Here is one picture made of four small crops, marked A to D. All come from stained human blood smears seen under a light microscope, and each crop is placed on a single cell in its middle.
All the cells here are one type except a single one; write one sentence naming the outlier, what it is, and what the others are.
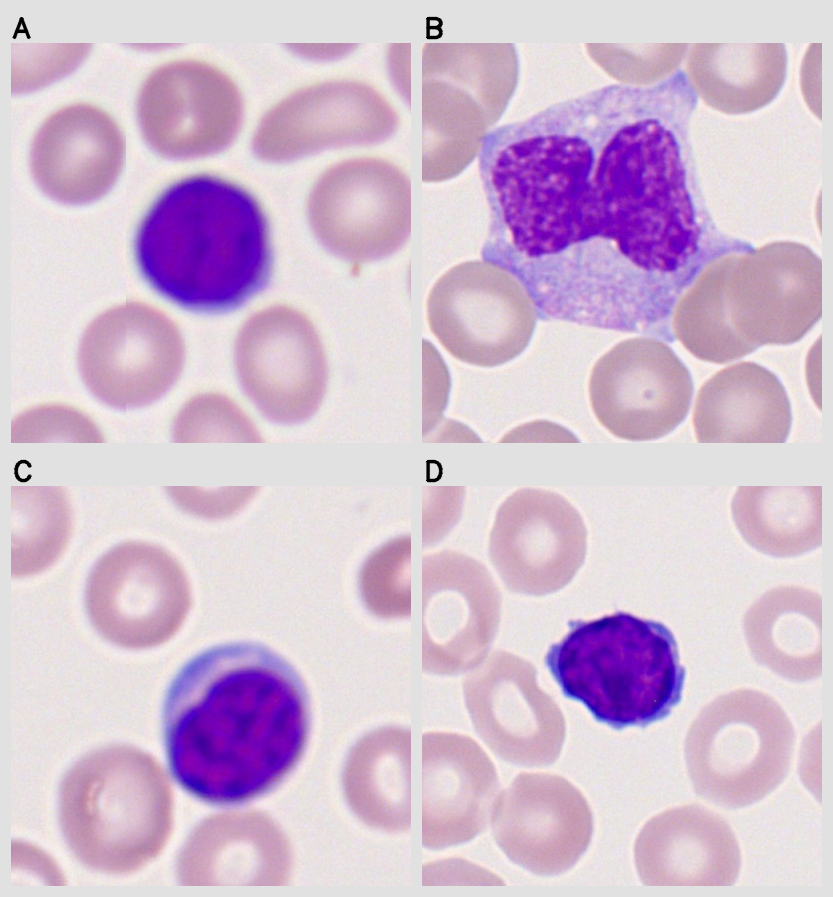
Only crop B differs, being a monocyte, while the others all show lymphocytes.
